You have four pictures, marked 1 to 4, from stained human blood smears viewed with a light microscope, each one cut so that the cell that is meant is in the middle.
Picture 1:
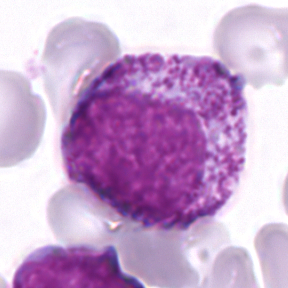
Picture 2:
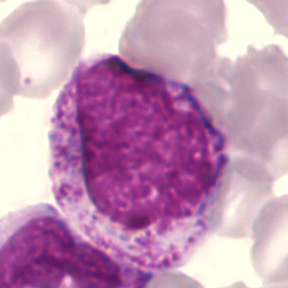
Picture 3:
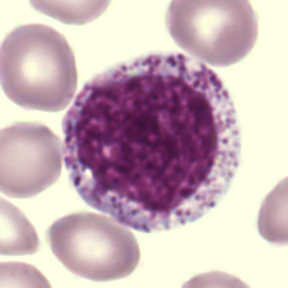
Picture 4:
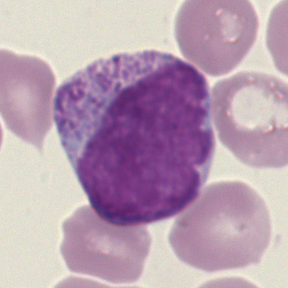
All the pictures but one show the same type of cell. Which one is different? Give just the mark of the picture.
4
